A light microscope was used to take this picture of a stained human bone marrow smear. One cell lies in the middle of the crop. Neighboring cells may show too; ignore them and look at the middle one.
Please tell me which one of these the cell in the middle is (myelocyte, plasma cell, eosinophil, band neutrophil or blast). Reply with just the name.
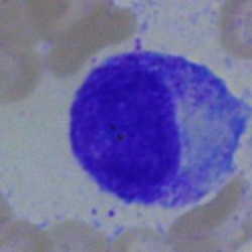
myelocyte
